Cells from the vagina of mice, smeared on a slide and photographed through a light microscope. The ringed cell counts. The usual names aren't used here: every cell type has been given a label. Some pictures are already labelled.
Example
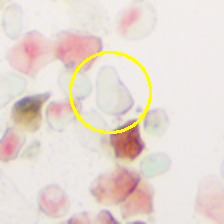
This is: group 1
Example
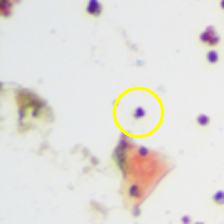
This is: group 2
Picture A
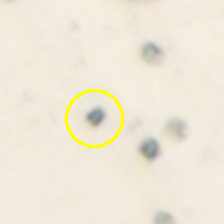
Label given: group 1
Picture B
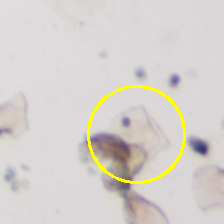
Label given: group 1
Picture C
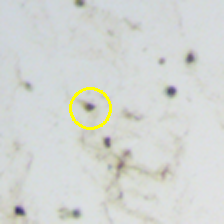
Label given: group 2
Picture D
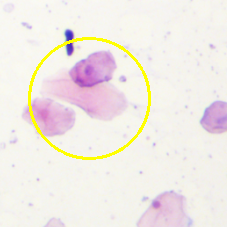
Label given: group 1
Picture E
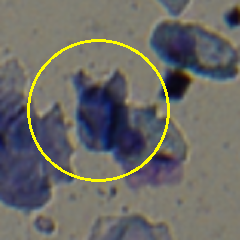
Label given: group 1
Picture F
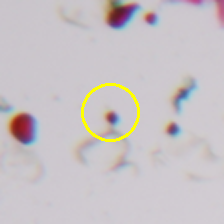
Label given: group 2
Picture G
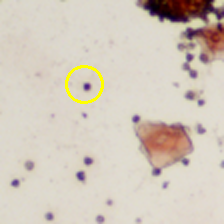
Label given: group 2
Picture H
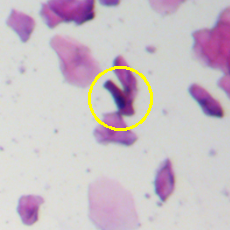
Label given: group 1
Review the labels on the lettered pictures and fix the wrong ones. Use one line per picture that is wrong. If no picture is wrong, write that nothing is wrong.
A is labelled group 1; correct label: group 2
